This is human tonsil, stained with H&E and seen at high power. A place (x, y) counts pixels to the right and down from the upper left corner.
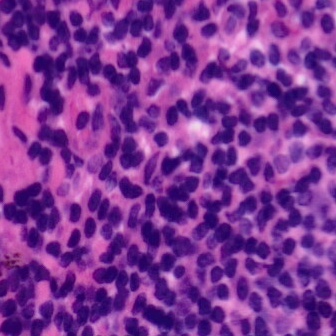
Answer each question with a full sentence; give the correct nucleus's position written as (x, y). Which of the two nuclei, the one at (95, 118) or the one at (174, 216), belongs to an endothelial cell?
The nucleus whose cell is an endothelial cell is the one at (95, 118).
